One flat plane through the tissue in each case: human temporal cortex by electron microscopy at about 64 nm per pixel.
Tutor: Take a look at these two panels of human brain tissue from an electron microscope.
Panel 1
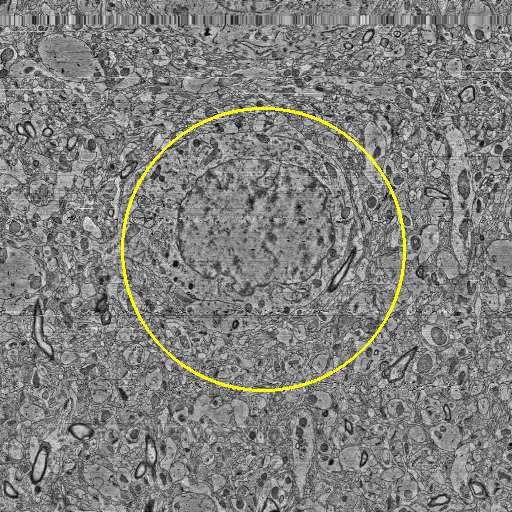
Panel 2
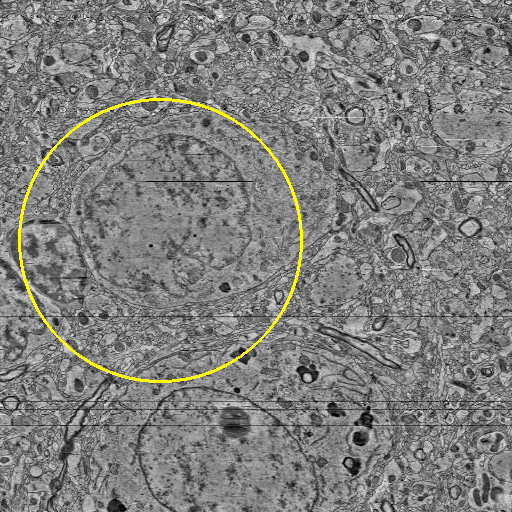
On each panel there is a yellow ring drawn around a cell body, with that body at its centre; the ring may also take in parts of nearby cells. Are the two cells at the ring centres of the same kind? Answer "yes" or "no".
yes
